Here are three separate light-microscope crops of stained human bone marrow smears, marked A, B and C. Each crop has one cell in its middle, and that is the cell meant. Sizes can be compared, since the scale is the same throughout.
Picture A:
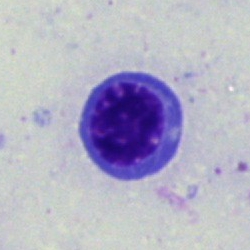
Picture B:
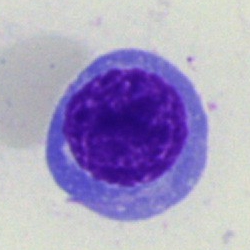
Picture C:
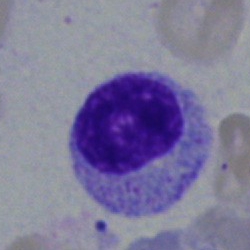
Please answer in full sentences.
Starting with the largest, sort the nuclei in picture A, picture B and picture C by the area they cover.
The order is B, C, A, beginning with the largest.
